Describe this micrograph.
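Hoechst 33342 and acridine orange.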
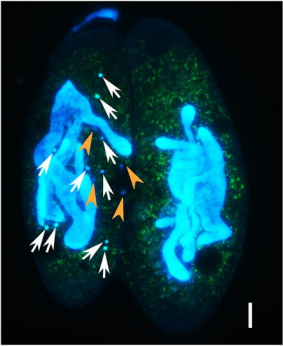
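Two paramecia lie side by side in a conjugating pair, each holding a large, bright blue nucleus that has become drawn out into long, tangled, sausage-like coils filling much of the cell. The right cell shows only the coiled large nucleus and no small nuclei.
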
